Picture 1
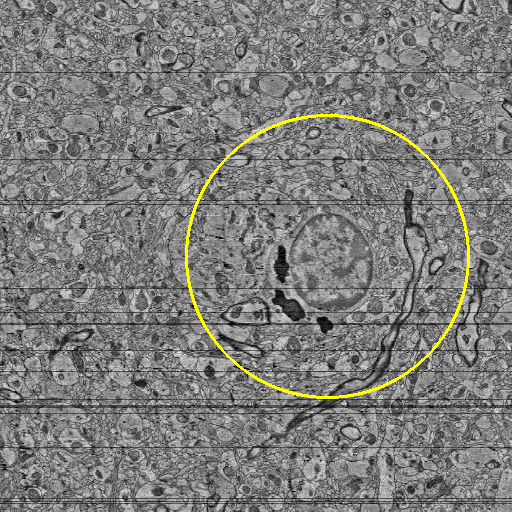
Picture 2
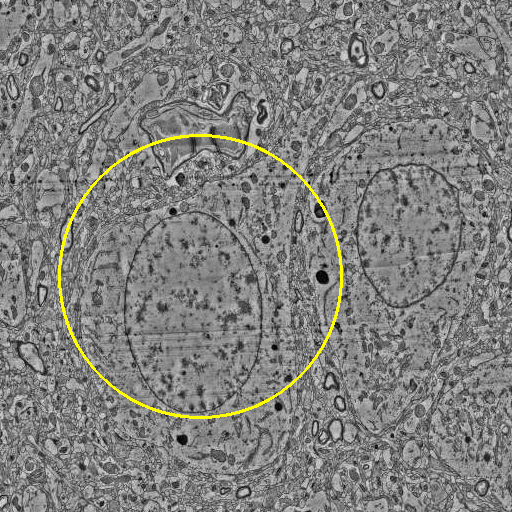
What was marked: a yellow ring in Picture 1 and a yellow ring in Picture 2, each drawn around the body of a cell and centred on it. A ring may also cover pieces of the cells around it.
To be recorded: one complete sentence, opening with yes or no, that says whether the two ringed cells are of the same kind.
No, the two ringed cells are of two kinds.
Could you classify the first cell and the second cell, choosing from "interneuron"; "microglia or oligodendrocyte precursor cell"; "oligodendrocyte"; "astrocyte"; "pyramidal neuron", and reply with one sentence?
The second cell is a pyramidal neuron, while the first is an oligodendrocyte.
